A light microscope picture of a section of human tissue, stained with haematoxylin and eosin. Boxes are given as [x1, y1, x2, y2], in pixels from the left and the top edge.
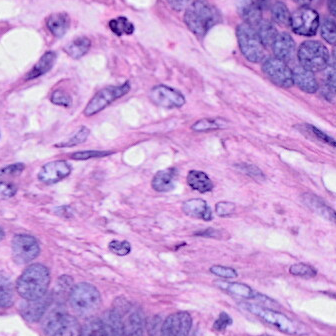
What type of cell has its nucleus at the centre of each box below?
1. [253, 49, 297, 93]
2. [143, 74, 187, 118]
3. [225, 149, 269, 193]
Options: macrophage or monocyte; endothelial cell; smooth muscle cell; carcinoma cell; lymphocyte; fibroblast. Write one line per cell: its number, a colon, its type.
1: carcinoma cell
2: fibroblast
3: fibroblast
